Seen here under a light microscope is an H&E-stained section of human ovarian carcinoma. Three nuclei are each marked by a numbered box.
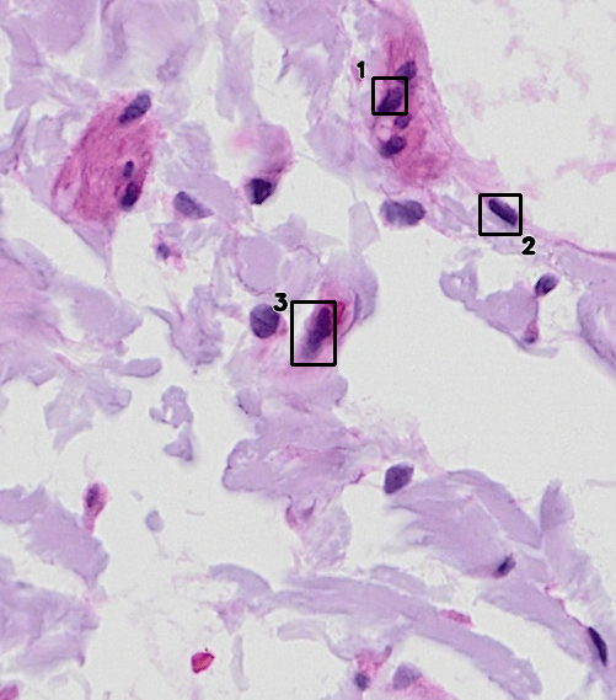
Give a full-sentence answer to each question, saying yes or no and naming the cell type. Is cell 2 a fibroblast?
Yes, the cell whose number is 2 is a fibroblast.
